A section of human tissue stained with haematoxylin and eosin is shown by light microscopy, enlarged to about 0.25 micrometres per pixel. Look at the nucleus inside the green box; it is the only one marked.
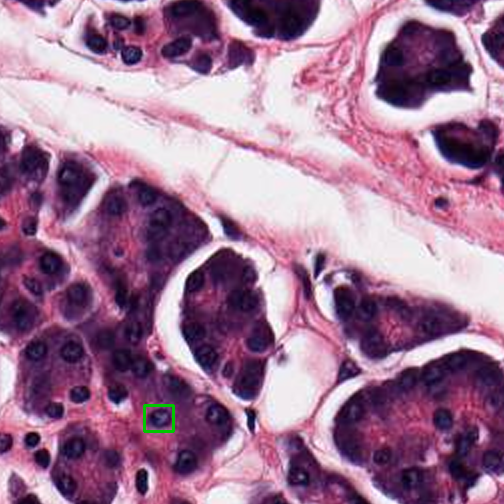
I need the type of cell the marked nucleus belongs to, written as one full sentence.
The marked nucleus is a nucleus of a pancreatic acinar cell.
